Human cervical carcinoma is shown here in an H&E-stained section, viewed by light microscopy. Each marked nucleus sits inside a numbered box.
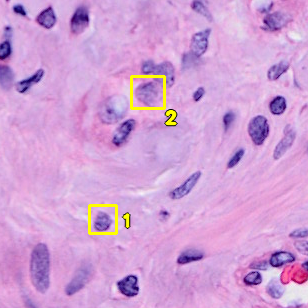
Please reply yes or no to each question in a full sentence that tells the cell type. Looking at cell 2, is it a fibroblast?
No, number 2 corresponds to an endothelial cell, not a fibroblast.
